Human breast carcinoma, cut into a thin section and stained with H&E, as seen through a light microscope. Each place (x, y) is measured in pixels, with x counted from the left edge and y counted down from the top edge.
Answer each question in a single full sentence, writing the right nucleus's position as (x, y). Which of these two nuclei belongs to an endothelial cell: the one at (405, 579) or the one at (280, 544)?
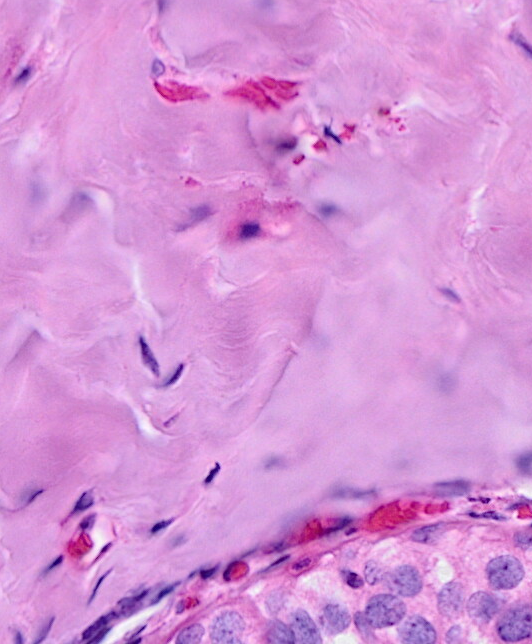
Of the two nuclei, that at (280, 544) is the nucleus of an endothelial cell.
